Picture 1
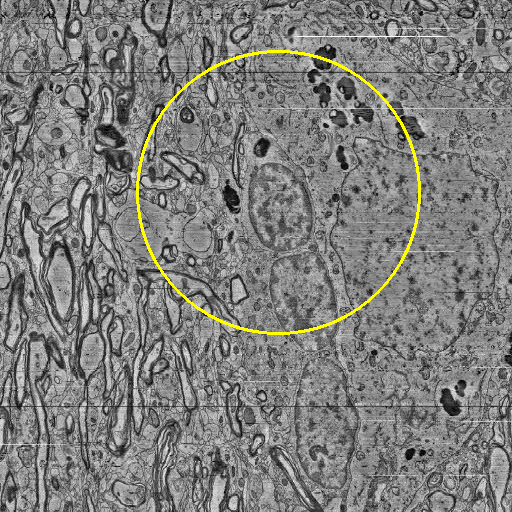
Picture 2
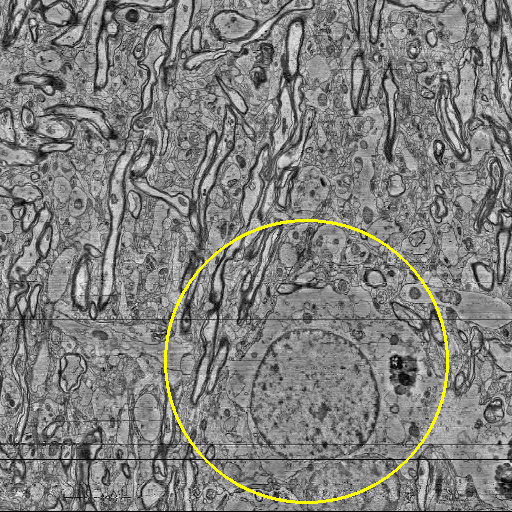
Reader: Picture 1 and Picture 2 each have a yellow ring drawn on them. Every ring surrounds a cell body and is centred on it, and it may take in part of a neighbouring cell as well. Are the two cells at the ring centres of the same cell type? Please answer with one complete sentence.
No, the cells are of two cell types.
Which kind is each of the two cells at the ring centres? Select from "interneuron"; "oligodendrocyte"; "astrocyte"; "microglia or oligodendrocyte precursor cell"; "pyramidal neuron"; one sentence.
The cell at the centre of the ring is an oligodendrocyte in the first picture and an astrocyte in the second.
